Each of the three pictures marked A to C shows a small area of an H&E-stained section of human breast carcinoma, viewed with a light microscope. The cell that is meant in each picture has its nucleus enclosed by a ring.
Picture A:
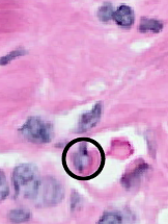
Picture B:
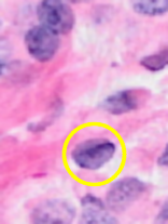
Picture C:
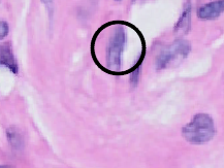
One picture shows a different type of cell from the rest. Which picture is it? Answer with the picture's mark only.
B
